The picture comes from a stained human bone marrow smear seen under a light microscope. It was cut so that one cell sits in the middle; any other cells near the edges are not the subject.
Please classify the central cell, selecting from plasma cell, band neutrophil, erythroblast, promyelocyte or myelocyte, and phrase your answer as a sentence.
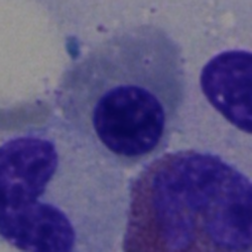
Standing at the centre of this crop is an erythroblast.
